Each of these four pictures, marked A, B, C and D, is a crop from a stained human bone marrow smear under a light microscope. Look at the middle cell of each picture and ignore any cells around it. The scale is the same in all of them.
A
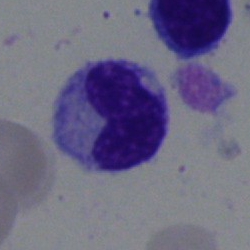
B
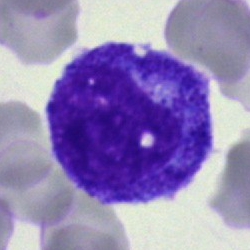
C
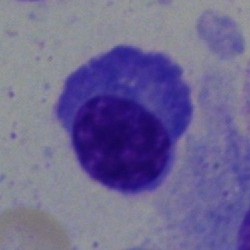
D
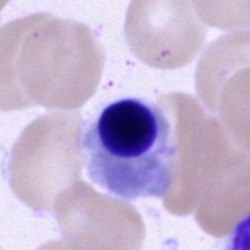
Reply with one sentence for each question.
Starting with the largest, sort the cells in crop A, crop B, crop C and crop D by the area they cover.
Largest first: B, C, A, D.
